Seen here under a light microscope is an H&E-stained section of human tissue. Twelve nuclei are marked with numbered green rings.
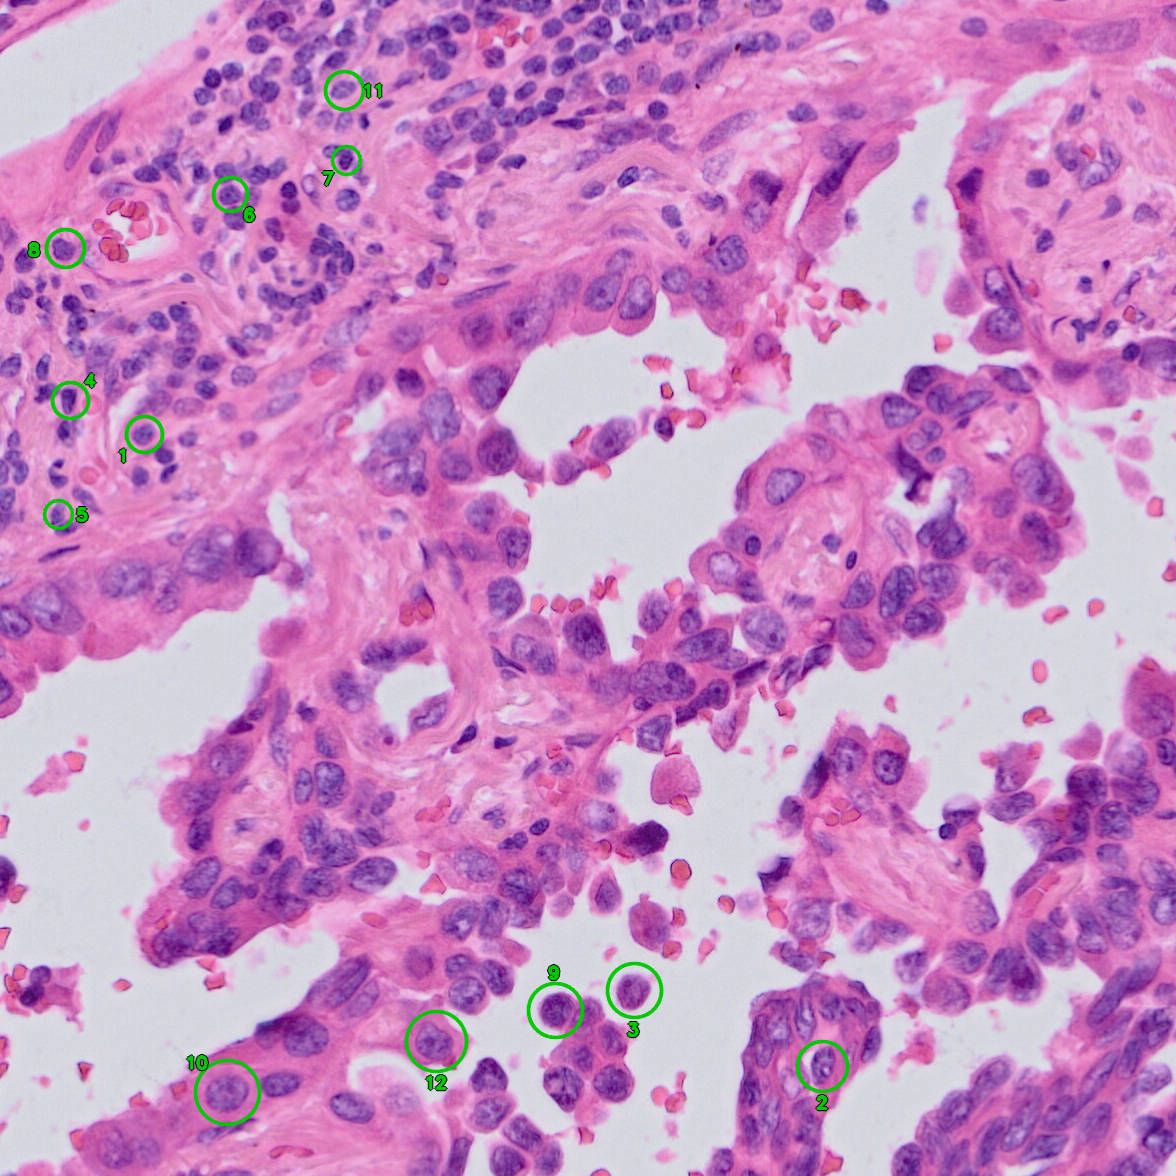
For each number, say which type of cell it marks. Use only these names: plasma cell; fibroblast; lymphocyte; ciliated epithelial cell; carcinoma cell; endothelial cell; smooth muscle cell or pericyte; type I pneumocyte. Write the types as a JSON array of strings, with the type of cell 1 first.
["lymphocyte", "carcinoma cell", "carcinoma cell", "lymphocyte", "lymphocyte", "lymphocyte", "lymphocyte", "lymphocyte", "carcinoma cell", "carcinoma cell", "lymphocyte", "carcinoma cell"]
